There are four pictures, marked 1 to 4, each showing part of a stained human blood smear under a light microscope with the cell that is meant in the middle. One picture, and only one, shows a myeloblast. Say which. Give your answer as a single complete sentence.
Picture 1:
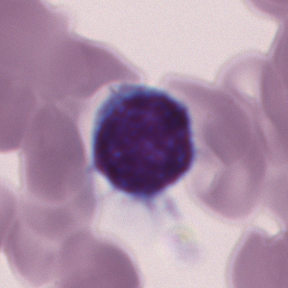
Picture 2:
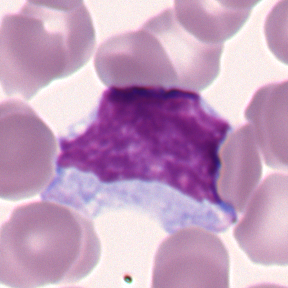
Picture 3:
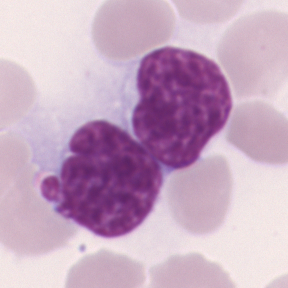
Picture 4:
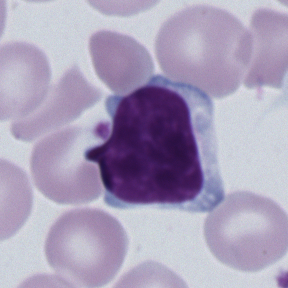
The picture with the myeloblast is 3.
